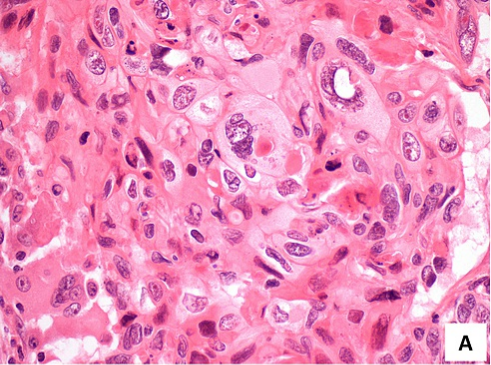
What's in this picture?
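Tumor cells with abundant pink cytoplasm lie loosely arranged, and their nuclei differ markedly in size and shape, some oval, some large and irregular. Many nuclei have vesicular or coarse chromatin with distinct nucleoli, and a few are dark and hyperchromatic. Bright pink eosinophilic material lies between some cells. This variation in nuclear size and form is nuclear pleomorphism.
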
